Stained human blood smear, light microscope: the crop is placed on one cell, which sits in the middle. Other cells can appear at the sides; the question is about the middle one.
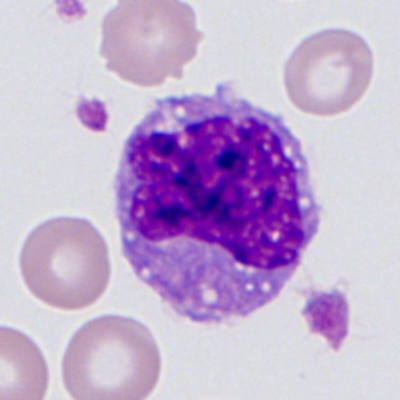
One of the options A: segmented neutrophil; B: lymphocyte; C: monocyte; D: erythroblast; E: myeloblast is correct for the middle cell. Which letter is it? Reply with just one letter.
C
